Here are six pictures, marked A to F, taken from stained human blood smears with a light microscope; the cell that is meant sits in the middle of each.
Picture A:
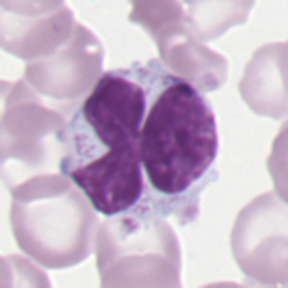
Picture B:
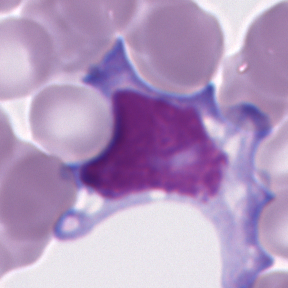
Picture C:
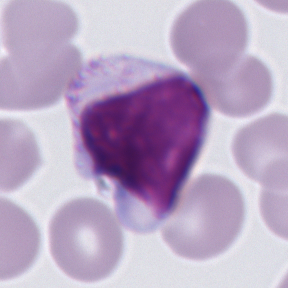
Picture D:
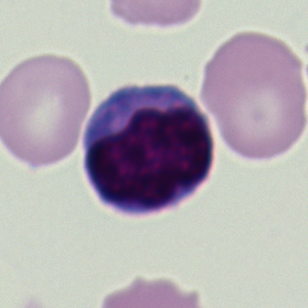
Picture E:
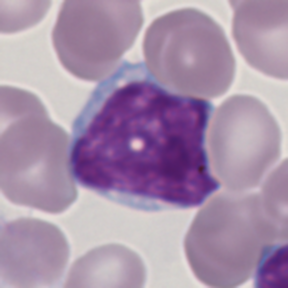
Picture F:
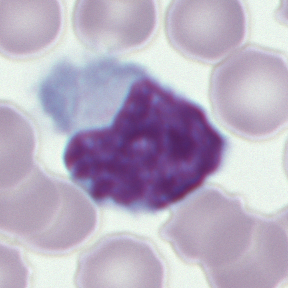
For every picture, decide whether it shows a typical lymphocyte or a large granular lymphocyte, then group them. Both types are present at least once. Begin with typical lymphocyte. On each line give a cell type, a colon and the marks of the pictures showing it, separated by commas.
typical lymphocyte: B, D, E, F
large granular lymphocyte: A, C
